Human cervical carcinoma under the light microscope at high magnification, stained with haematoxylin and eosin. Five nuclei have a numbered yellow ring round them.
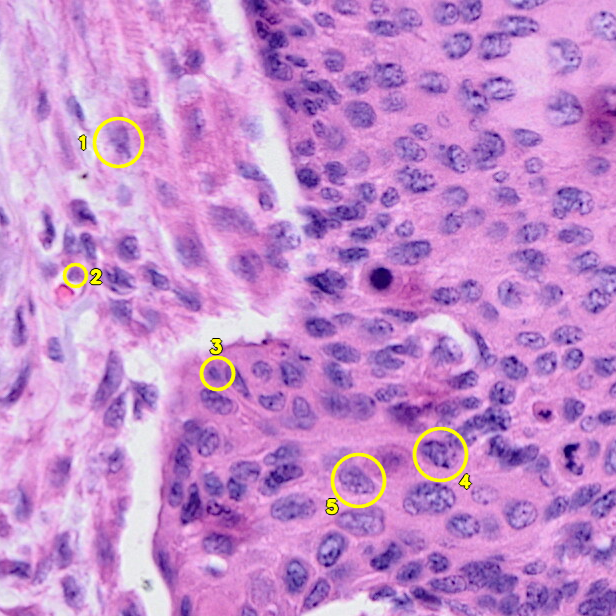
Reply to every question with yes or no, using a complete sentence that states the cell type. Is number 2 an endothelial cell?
Yes, the cell carrying number 2 is an endothelial cell.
